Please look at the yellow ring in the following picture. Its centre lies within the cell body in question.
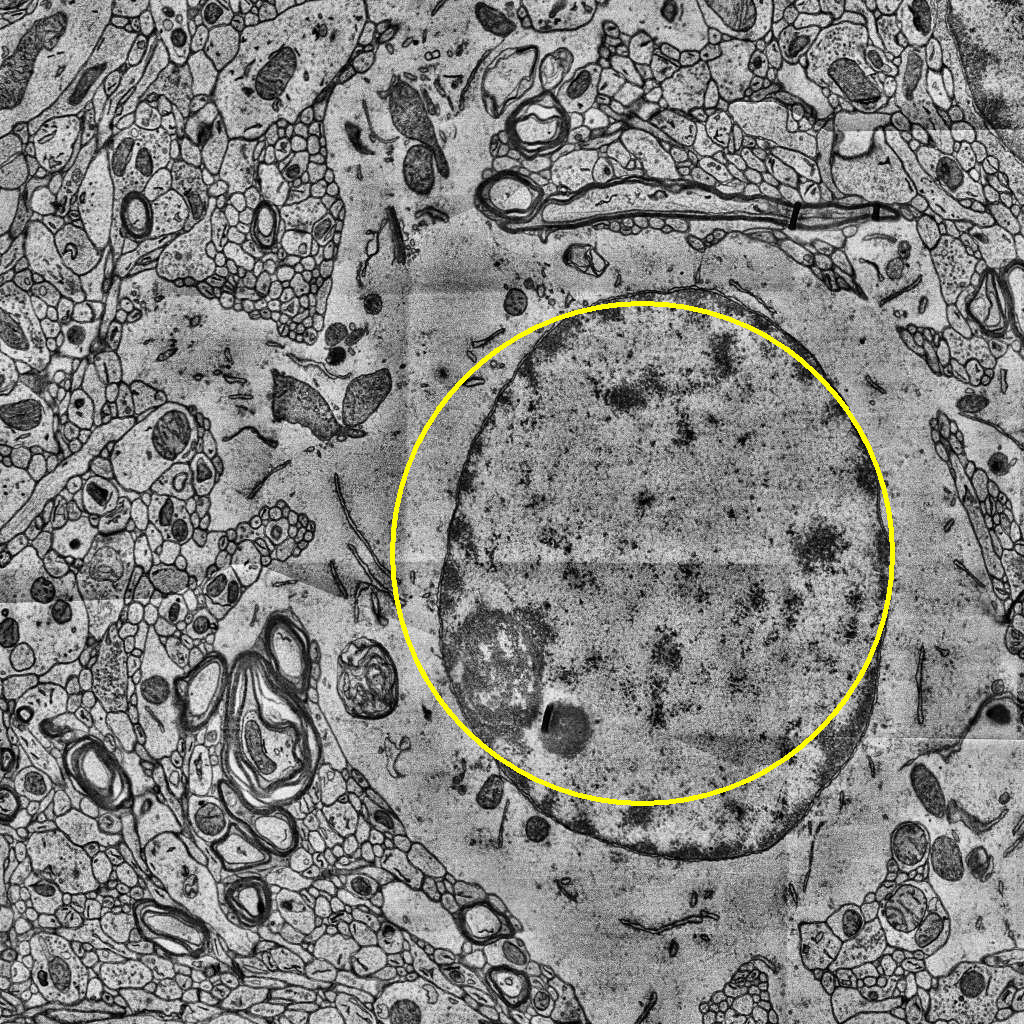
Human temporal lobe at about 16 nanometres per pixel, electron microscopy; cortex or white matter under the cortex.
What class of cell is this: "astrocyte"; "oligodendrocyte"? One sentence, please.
The centre of the ring lies in the cell body of an astrocyte.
